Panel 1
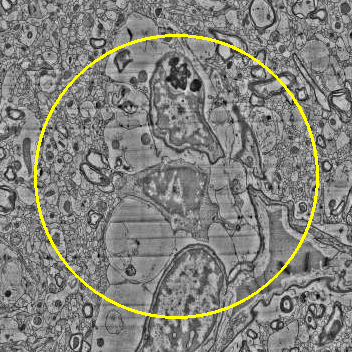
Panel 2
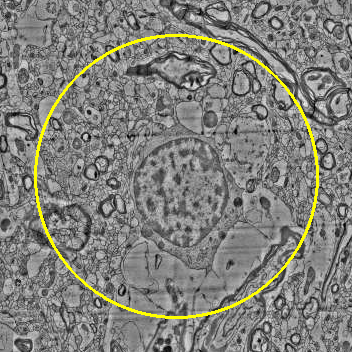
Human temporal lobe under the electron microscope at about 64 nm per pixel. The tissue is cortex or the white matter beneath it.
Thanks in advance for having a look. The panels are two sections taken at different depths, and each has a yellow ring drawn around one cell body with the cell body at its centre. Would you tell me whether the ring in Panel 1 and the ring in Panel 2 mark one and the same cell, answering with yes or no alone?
yes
